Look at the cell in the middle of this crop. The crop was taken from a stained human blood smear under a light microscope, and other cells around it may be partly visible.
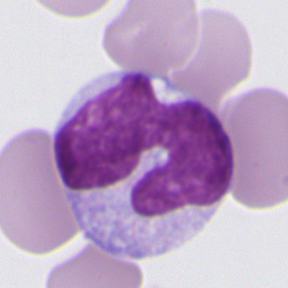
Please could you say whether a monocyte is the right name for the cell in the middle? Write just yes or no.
yes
